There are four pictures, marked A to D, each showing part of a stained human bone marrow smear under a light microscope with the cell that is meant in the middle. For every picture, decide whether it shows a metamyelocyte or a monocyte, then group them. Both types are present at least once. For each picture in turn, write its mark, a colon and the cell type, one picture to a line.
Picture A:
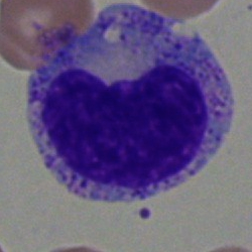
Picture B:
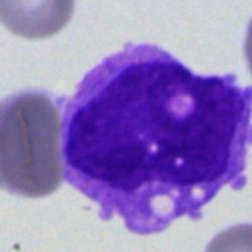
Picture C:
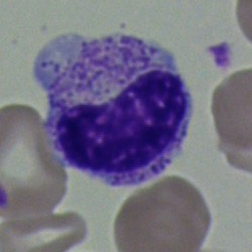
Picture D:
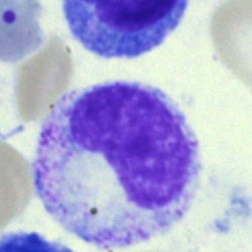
A: metamyelocyte
B: monocyte
C: metamyelocyte
D: metamyelocyte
